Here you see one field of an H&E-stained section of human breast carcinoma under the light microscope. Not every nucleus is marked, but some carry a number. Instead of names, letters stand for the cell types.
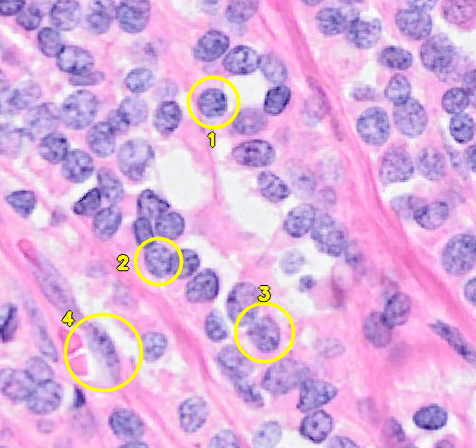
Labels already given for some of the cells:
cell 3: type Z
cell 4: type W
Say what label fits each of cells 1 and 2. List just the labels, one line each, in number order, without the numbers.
type Z
type Z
